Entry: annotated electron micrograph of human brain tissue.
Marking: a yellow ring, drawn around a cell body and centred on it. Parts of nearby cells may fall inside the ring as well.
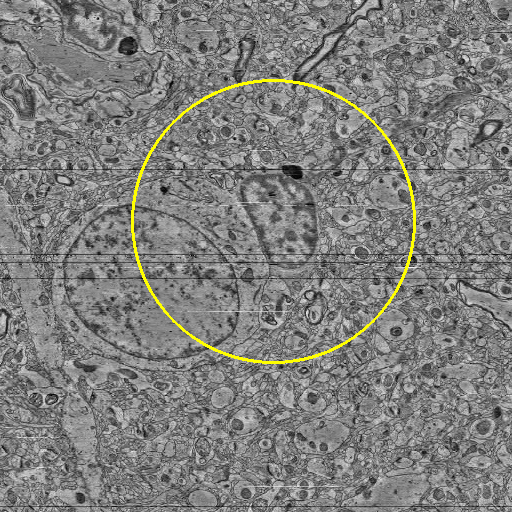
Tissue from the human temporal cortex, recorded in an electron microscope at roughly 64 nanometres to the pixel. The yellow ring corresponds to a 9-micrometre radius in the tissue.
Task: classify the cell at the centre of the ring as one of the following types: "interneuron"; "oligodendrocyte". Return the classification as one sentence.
The marked cell is classified as an oligodendrocyte.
